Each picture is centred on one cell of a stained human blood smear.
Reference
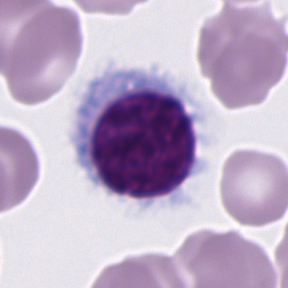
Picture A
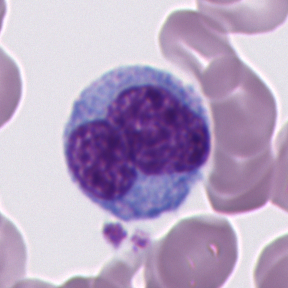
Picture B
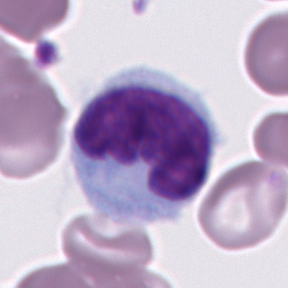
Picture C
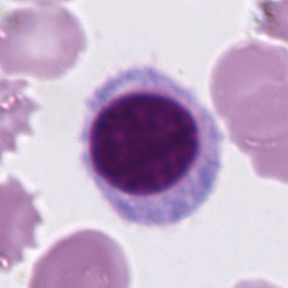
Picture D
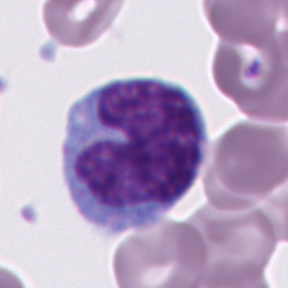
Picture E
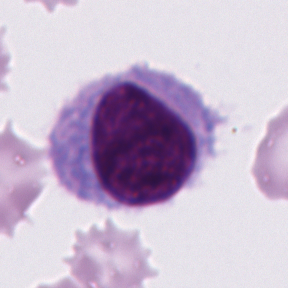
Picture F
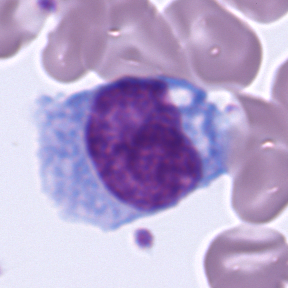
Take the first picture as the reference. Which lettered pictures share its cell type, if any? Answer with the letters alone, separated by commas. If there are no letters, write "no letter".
C, E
